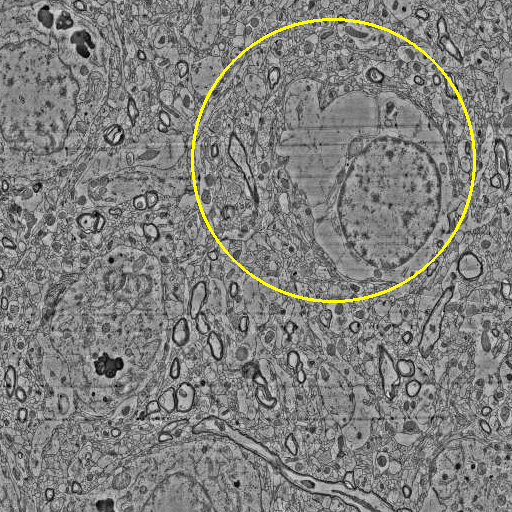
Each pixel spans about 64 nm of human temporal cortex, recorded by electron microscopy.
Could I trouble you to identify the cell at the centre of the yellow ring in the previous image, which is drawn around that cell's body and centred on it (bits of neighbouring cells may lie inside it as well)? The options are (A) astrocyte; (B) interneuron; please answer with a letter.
A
